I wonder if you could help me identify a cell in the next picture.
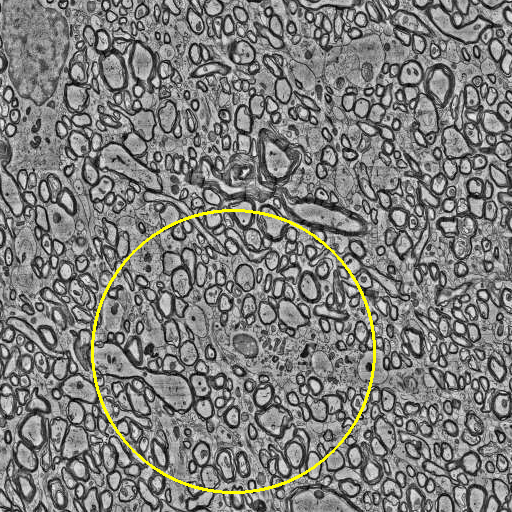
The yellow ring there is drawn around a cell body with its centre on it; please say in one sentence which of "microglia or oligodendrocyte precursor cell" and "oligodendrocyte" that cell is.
The yellow ring is centred on a microglial cell or oligodendrocyte precursor cell.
